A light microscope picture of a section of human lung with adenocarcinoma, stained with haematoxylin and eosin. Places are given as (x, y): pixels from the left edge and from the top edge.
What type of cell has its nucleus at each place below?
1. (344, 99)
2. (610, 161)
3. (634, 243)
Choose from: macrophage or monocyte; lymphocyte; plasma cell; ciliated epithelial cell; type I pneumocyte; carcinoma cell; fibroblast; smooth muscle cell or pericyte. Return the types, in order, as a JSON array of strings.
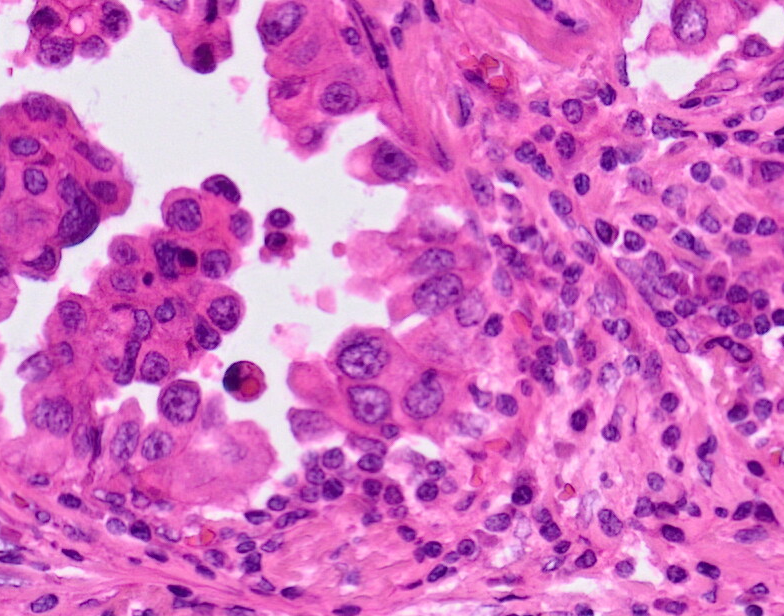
["carcinoma cell", "lymphocyte", "lymphocyte"]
